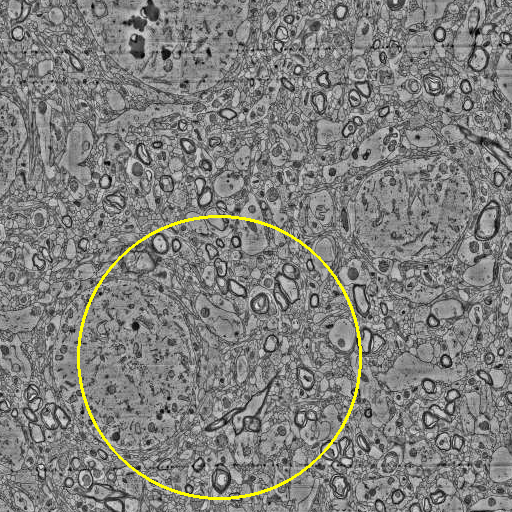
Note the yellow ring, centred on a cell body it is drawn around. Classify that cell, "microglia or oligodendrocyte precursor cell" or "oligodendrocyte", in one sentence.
The cell the ring is centred on is an oligodendrocyte.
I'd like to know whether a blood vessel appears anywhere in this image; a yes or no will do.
No, no blood vessel can be seen.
